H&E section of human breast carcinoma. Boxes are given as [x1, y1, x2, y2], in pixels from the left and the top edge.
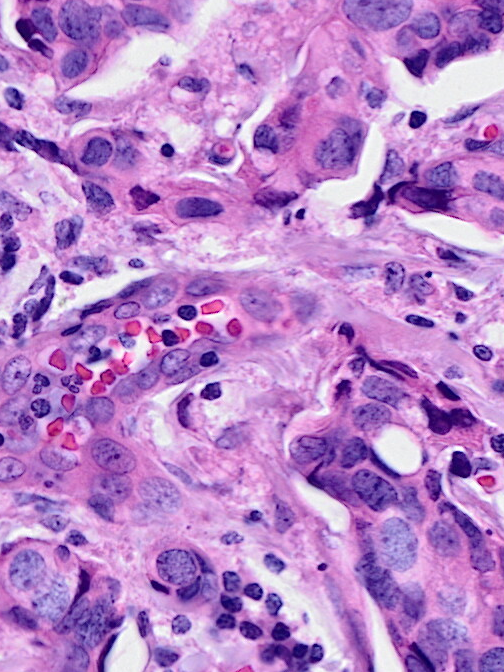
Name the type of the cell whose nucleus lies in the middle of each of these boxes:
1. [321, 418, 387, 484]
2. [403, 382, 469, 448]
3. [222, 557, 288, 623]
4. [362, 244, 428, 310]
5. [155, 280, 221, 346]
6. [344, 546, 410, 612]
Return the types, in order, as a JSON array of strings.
["carcinoma cell", "carcinoma cell", "lymphocyte", "macrophage, monocyte or dendritic cell", "lymphocyte", "carcinoma cell"]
